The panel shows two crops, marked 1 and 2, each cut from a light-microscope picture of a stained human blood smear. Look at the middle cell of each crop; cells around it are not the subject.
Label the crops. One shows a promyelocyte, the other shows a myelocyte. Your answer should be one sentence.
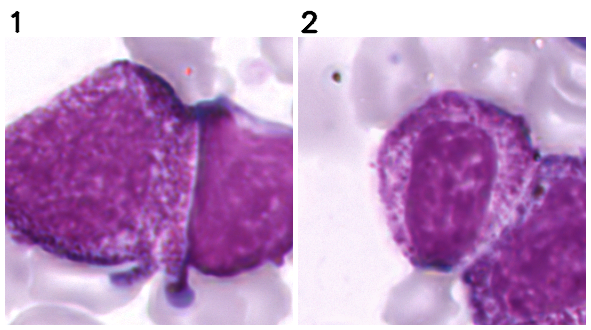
As for the pair, crop 1 is a promyelocyte and crop 2 is a myelocyte.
